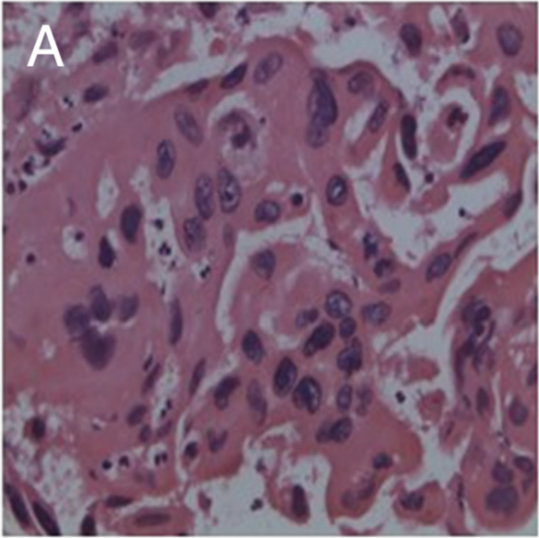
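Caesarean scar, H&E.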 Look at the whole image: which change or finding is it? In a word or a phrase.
Marked nuclear and cellular atypia.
